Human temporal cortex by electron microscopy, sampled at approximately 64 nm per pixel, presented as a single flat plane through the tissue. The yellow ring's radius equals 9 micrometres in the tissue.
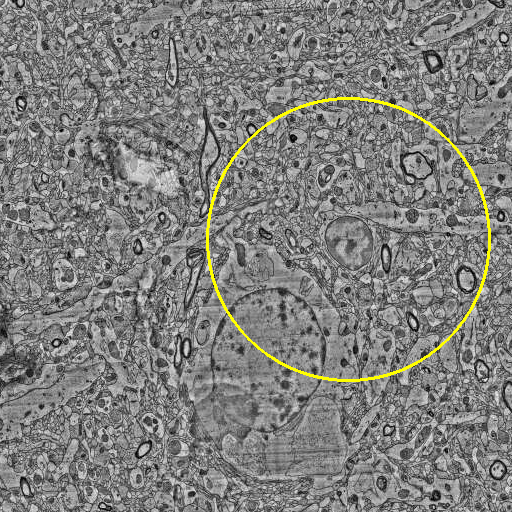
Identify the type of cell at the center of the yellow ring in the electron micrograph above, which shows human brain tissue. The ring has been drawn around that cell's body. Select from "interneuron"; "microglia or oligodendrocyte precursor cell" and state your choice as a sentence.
The yellow ring is centered on the body of a microglial cell or oligodendrocyte precursor cell.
